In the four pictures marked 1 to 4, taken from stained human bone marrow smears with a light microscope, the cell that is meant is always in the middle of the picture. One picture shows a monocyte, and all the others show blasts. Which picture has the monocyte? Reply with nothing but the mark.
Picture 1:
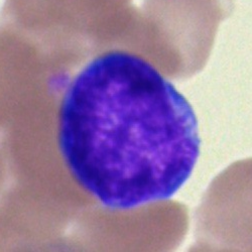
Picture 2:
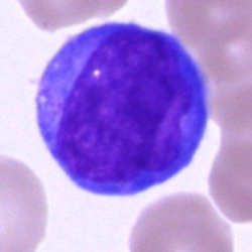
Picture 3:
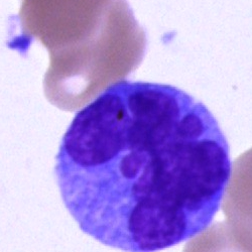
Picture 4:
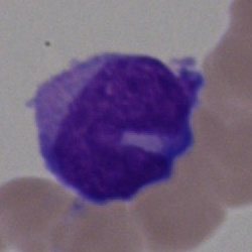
4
